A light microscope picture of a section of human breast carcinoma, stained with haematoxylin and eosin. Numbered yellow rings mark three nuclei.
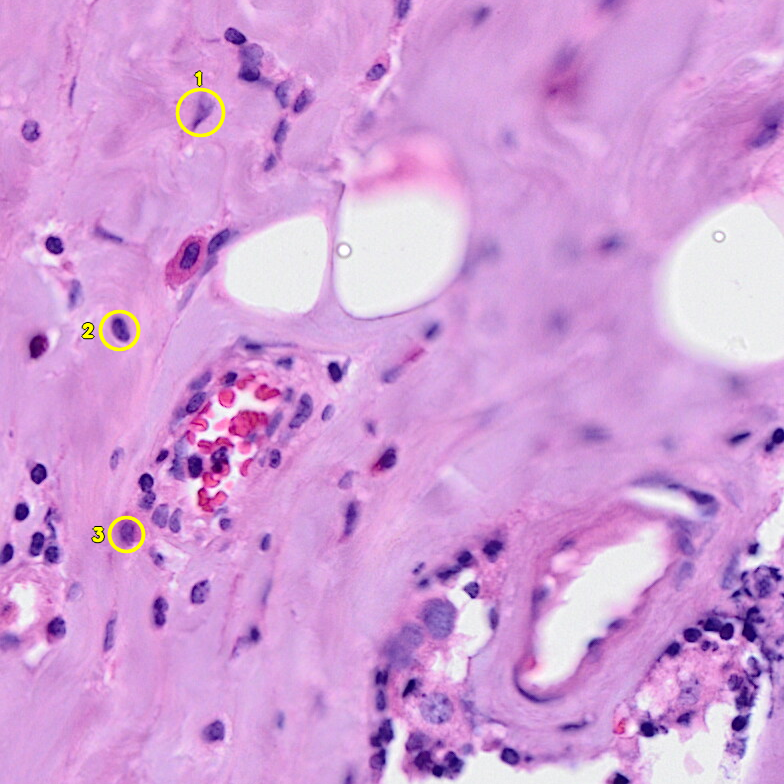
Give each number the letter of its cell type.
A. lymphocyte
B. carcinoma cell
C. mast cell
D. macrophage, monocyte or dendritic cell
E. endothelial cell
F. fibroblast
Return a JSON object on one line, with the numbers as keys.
{"1": "F", "2": "A", "3": "C"}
